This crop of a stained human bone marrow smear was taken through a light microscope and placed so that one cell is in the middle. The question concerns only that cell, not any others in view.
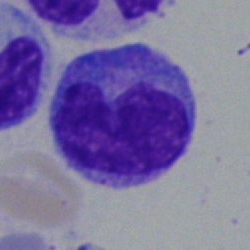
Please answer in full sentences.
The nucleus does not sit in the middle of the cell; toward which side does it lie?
The nucleus is pushed toward the bottom of the cell.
